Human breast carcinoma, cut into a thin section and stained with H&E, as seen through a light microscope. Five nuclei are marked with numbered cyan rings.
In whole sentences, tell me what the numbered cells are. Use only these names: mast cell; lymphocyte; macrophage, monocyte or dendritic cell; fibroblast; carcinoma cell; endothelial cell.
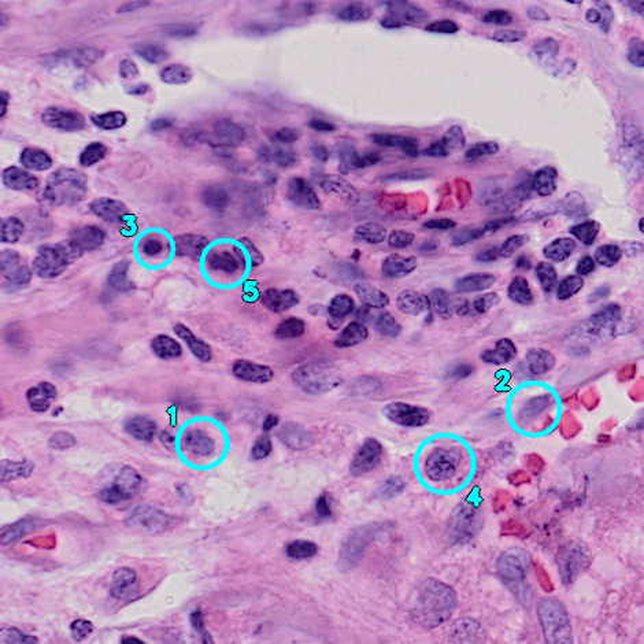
Cell 1 is a mast cell, cell 2 is an endothelial cell, cell 3 is a lymphocyte, cell 4 is a macrophage, monocyte or dendritic cell and cell 5 is a lymphocyte.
